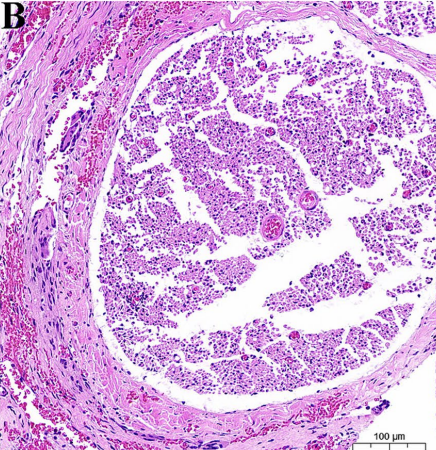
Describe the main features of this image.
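This is a peripheral nerve in cross-section, with a pale pink fascicle surrounded by a thick layered connective tissue sheath. Inside, the nerve fibers are not evenly packed but broken into loose, irregular clusters separated by wide empty clefts.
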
